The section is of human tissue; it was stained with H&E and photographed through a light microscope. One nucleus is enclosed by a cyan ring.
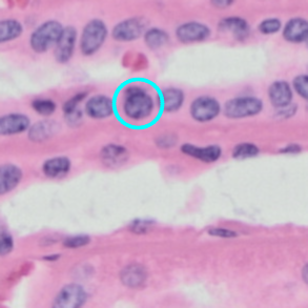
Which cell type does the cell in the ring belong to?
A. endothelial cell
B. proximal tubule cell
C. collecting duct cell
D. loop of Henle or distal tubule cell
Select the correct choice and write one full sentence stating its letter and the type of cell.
With the cell in the ring being a collecting duct cell, option C is correct.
